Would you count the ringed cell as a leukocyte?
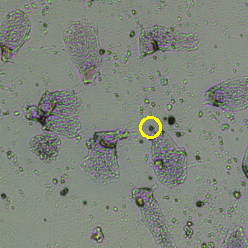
Yes, I would count it as a leukocyte.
